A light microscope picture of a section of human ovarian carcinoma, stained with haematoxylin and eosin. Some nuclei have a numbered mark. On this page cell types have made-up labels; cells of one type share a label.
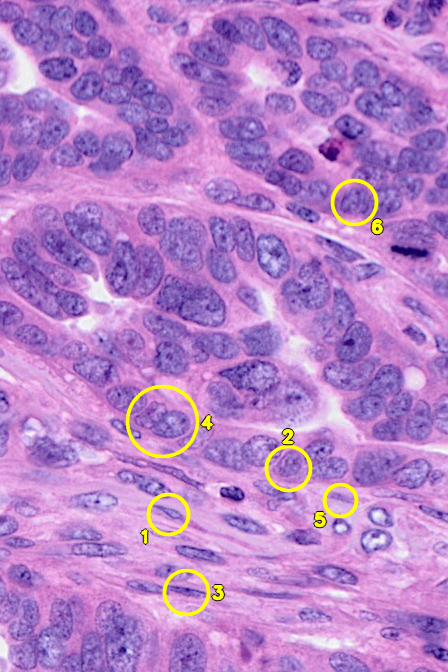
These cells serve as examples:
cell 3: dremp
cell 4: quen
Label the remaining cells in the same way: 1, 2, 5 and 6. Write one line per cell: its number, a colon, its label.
1: dremp
2: quen
5: dremp
6: quen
